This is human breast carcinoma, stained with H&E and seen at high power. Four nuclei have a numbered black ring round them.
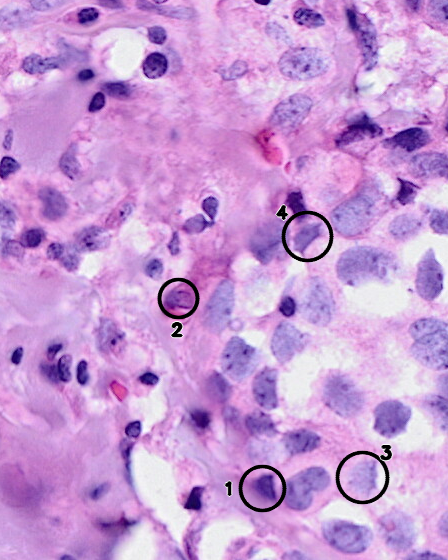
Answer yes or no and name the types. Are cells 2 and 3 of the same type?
No, cell 2 is an endothelial cell and cell 3 is a carcinoma cell.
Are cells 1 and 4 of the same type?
Yes, both are carcinoma cells.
